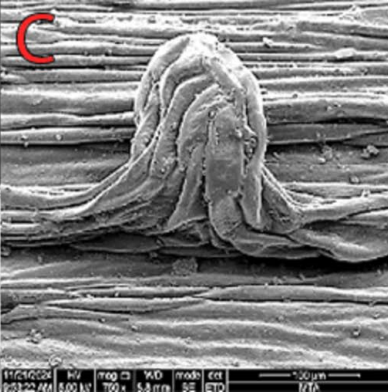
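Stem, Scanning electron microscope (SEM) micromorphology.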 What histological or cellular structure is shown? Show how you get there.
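Nonglandular trichome. A conical outgrowth rises from the surface. Its wall is folded into longitudinal ridges continuous with the surrounding striations. It has no rounded secretory head.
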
